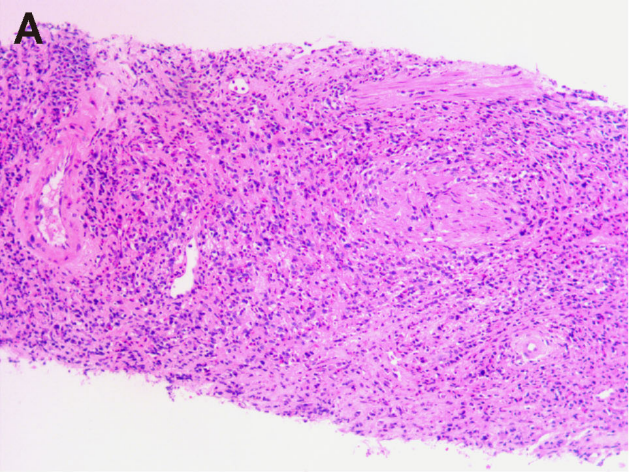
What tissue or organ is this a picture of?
Fibrous tissue.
